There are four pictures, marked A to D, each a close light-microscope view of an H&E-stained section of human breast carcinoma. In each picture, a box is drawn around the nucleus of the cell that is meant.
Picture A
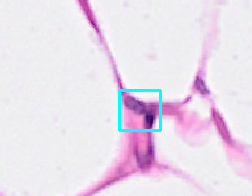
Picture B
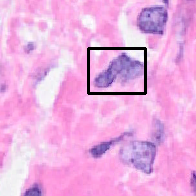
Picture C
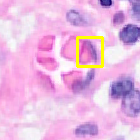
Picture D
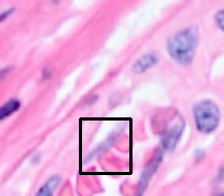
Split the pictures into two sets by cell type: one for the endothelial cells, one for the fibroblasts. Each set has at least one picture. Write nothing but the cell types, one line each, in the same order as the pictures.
endothelial cell
fibroblast
endothelial cell
endothelial cell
